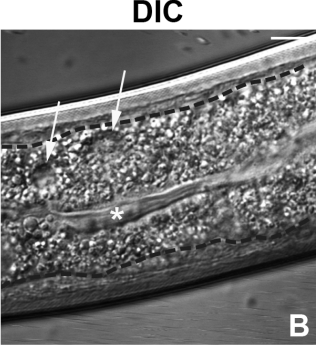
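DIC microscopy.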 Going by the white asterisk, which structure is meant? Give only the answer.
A: intestinal lumens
